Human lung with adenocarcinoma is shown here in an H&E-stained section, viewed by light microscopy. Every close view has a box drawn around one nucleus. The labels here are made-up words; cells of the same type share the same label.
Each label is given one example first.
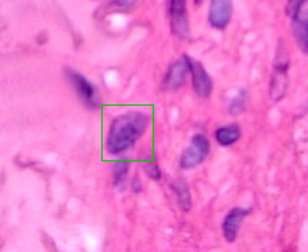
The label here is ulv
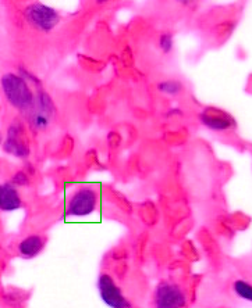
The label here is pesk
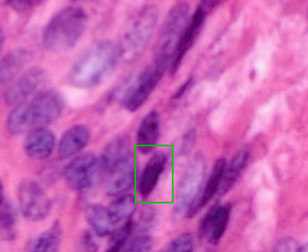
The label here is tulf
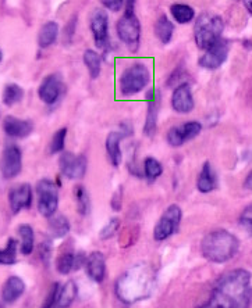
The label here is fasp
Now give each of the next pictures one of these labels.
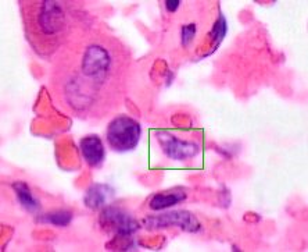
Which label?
pesk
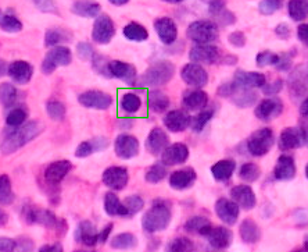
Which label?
fasp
